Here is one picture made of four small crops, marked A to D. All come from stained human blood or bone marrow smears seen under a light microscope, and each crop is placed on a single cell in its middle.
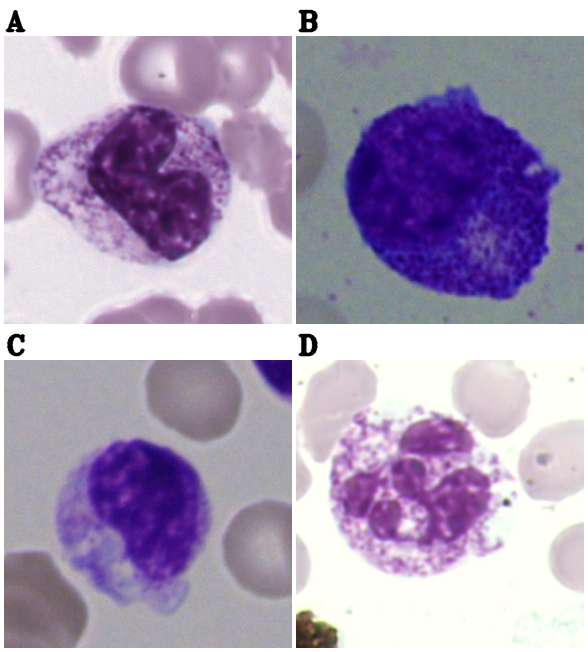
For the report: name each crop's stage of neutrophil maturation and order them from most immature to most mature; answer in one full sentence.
Counting from the least mature up to the most mature, the order is crop B (a promyelocyte), crop C (a metamyelocyte), crop A (a band neutrophil) and crop D (a segmented neutrophil).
